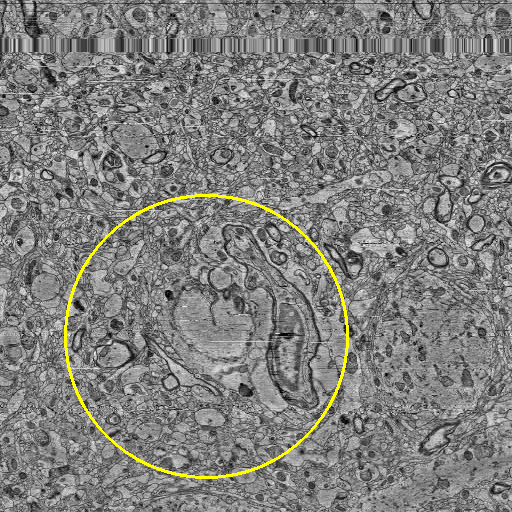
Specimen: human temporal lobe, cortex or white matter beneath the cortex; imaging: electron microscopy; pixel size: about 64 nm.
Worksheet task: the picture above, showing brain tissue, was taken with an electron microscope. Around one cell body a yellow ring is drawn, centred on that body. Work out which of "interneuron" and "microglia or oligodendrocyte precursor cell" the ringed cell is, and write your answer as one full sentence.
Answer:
It is a microglial cell or oligodendrocyte precursor cell whose cell body lies at the centre of the yellow ring.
